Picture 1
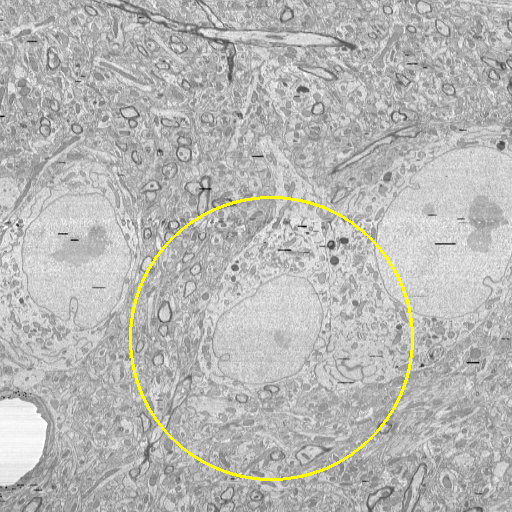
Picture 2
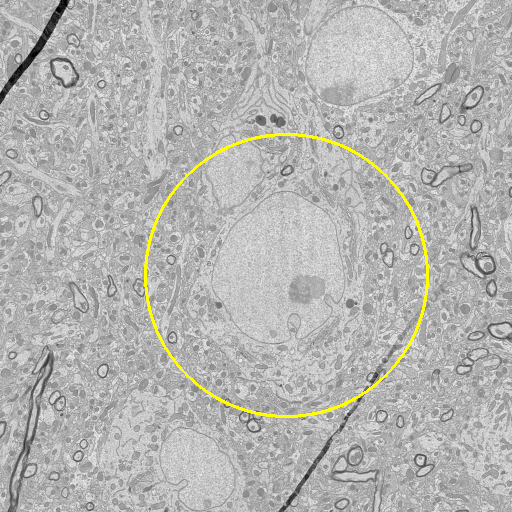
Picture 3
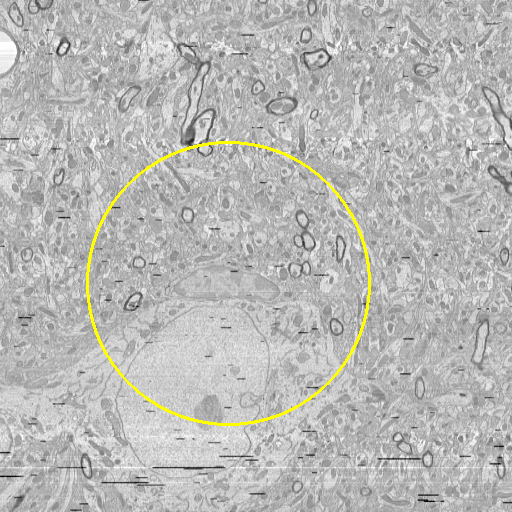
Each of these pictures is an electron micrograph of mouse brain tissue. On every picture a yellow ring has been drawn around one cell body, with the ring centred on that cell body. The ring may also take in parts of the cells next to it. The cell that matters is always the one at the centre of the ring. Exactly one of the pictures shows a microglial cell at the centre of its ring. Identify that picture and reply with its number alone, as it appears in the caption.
3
